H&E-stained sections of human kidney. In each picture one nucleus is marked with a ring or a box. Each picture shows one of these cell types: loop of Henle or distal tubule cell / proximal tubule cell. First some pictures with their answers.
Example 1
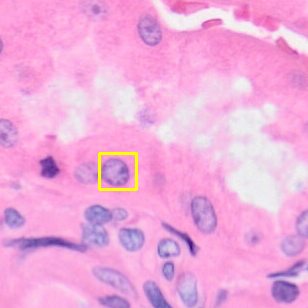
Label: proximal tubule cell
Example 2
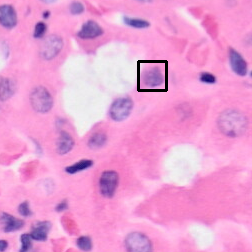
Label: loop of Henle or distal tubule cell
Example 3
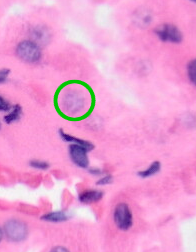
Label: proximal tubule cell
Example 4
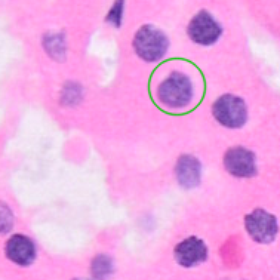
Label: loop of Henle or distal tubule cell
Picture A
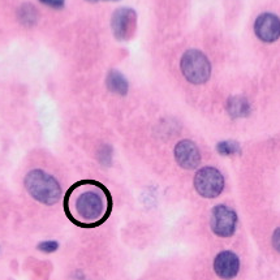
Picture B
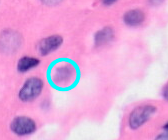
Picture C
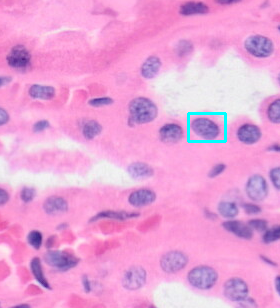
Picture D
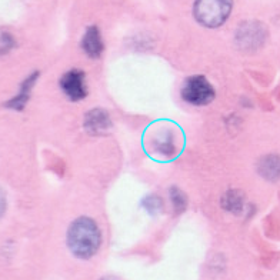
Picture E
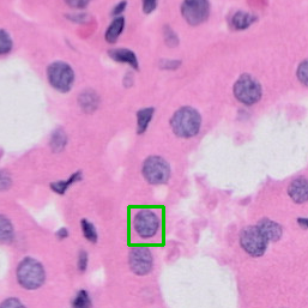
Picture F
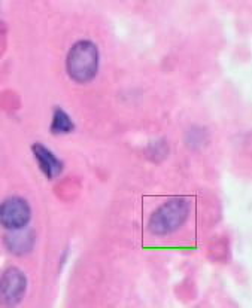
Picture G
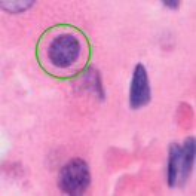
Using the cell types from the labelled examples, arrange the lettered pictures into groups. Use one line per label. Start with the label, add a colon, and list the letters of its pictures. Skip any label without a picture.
loop of Henle or distal tubule cell: B, C, D, E
proximal tubule cell: A, F, G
